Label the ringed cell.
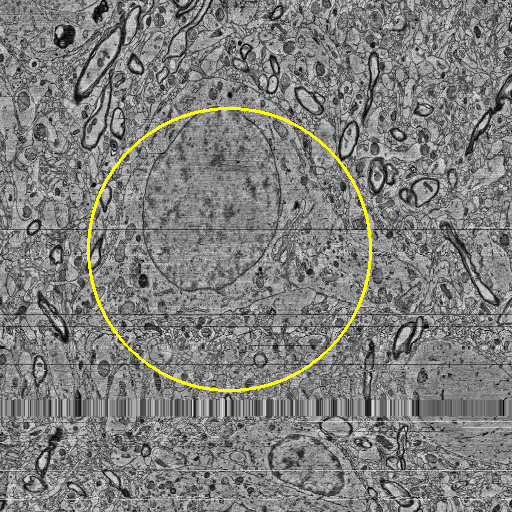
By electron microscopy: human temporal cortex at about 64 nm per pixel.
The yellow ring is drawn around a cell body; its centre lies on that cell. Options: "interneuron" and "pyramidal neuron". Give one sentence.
The ringed cell is a pyramidal neuron.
